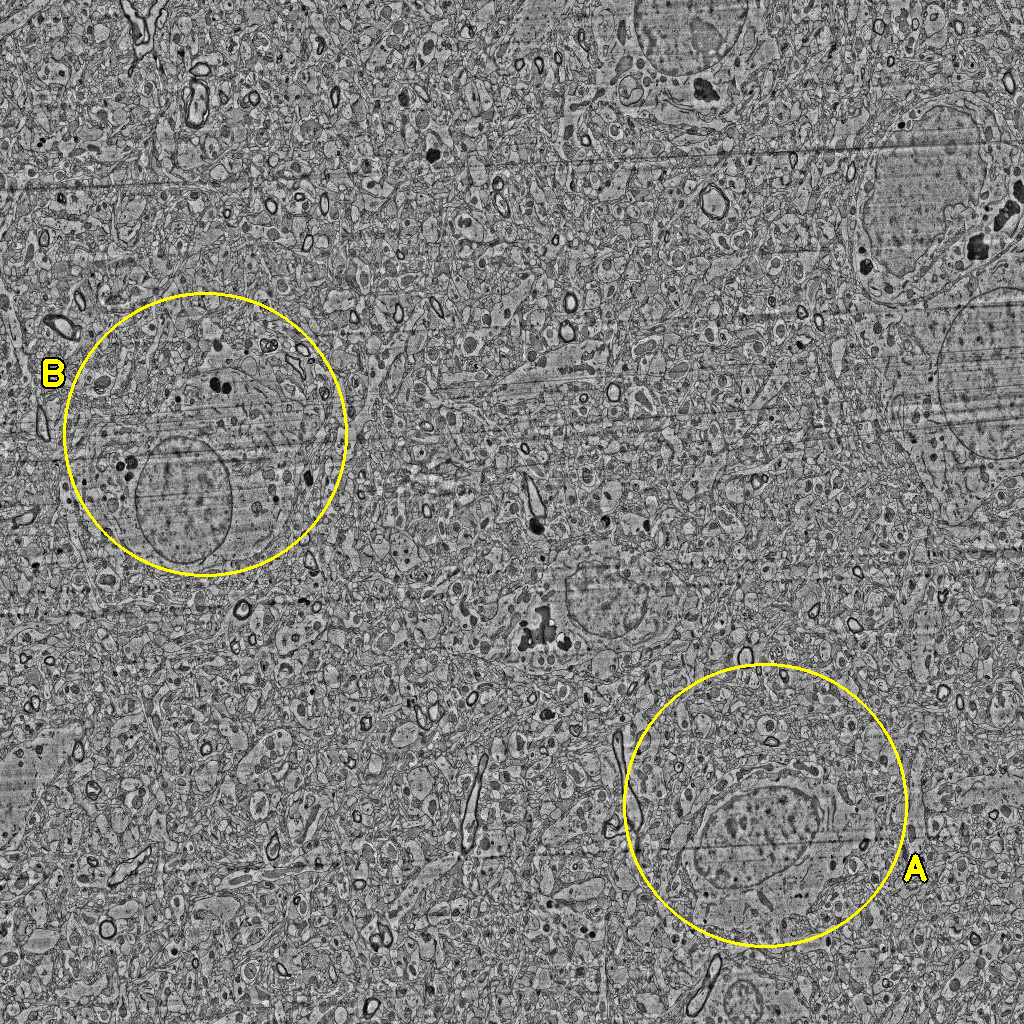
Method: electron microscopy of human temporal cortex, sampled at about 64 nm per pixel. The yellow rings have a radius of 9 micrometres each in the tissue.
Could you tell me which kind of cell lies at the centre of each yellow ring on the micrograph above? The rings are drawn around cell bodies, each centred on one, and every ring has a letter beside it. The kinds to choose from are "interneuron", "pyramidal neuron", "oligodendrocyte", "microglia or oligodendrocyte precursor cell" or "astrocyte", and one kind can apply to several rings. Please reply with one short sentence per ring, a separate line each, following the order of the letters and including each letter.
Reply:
Ring A circles a microglial cell or oligodendrocyte precursor cell.
Ring B circles a pyramidal neuron.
